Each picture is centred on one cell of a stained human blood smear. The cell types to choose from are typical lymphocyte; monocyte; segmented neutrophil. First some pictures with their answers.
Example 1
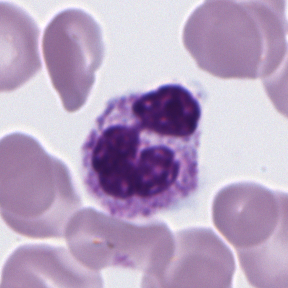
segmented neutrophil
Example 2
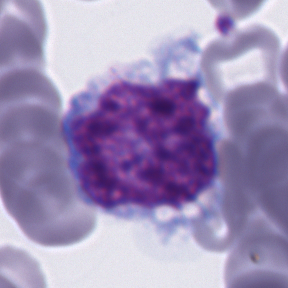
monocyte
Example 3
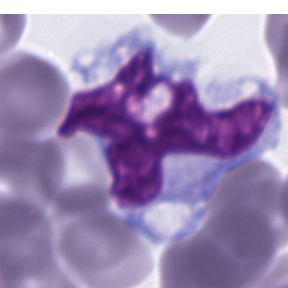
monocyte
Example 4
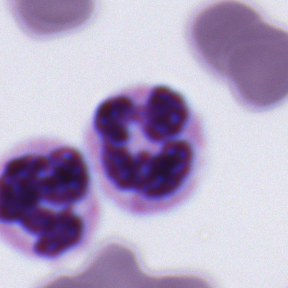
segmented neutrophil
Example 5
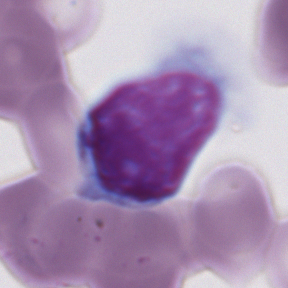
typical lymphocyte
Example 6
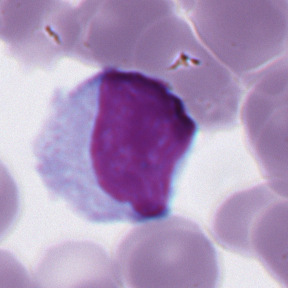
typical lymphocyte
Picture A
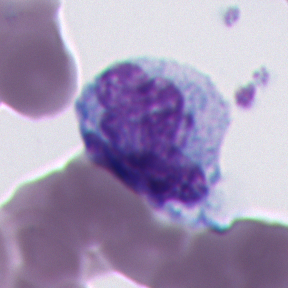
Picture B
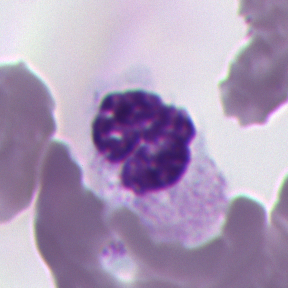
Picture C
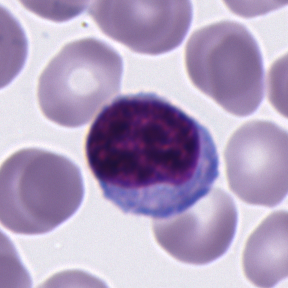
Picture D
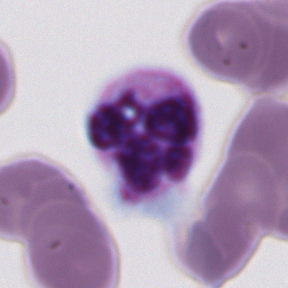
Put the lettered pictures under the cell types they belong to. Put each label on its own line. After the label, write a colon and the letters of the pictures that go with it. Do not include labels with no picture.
typical lymphocyte: C
monocyte: A
segmented neutrophil: B, D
